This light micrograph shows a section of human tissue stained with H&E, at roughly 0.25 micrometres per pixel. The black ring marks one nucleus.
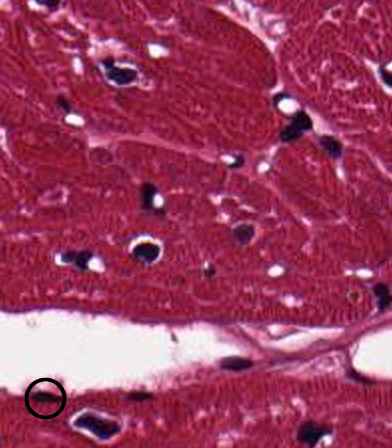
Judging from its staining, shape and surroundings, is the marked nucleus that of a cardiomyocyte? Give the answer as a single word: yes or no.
no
